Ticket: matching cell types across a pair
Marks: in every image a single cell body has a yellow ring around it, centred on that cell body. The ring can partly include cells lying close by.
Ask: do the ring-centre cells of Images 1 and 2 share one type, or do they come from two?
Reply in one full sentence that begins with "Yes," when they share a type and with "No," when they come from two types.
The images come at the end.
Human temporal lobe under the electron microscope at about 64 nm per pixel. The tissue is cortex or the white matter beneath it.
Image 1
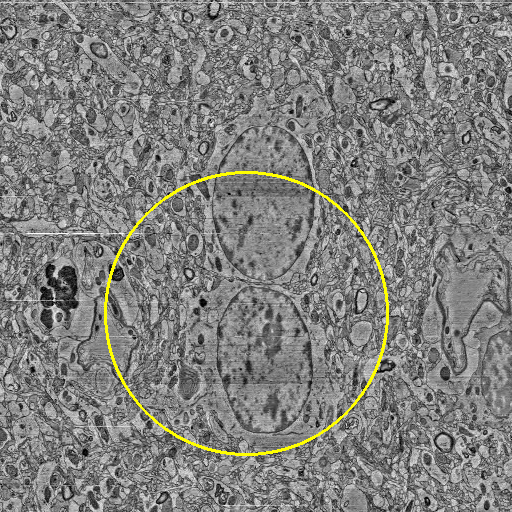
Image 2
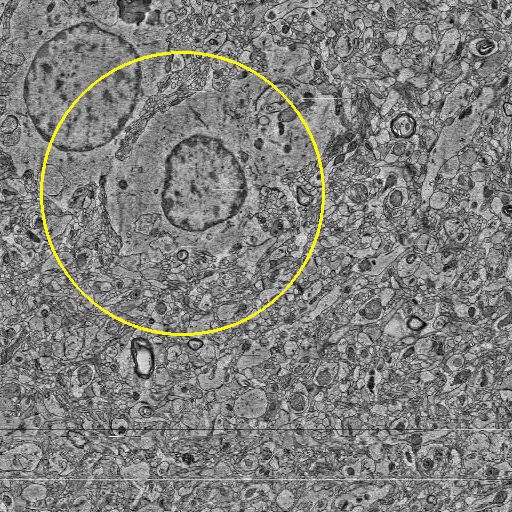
Yes, the cells in the centres of the rings in Image 1 and Image 2 share one type.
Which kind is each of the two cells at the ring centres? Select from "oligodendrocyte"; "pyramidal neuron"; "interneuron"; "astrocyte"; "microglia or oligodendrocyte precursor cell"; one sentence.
Each of the two pictures has an astrocyte at the ring centre.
